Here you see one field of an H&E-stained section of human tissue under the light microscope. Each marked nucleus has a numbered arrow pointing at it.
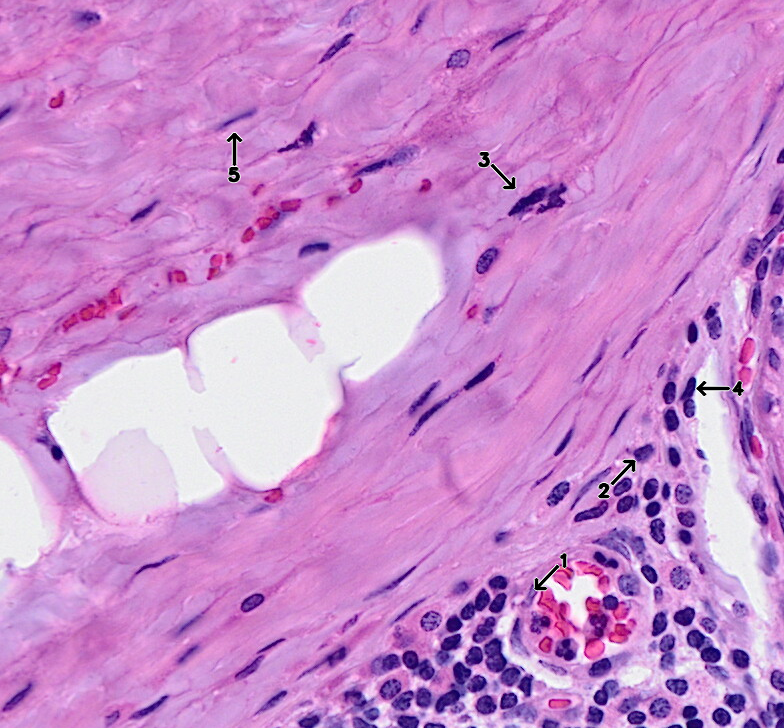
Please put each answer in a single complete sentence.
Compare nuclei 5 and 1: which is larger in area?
At about 2 times the area of nucleus 1, nucleus 5 is the larger of the two.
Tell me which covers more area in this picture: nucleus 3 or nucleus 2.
Nucleus 3 is the larger one, covering about 1.5 times the area of nucleus 2.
